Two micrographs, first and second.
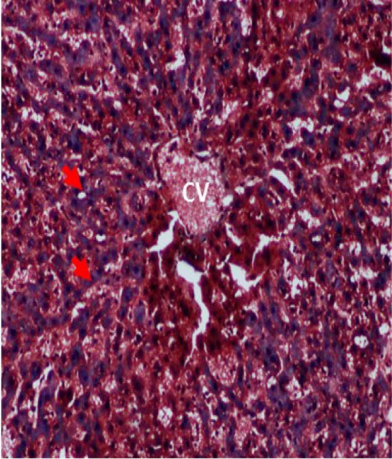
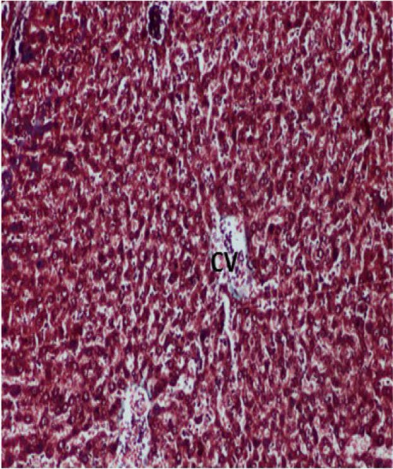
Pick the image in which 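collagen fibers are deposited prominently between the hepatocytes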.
The first image.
